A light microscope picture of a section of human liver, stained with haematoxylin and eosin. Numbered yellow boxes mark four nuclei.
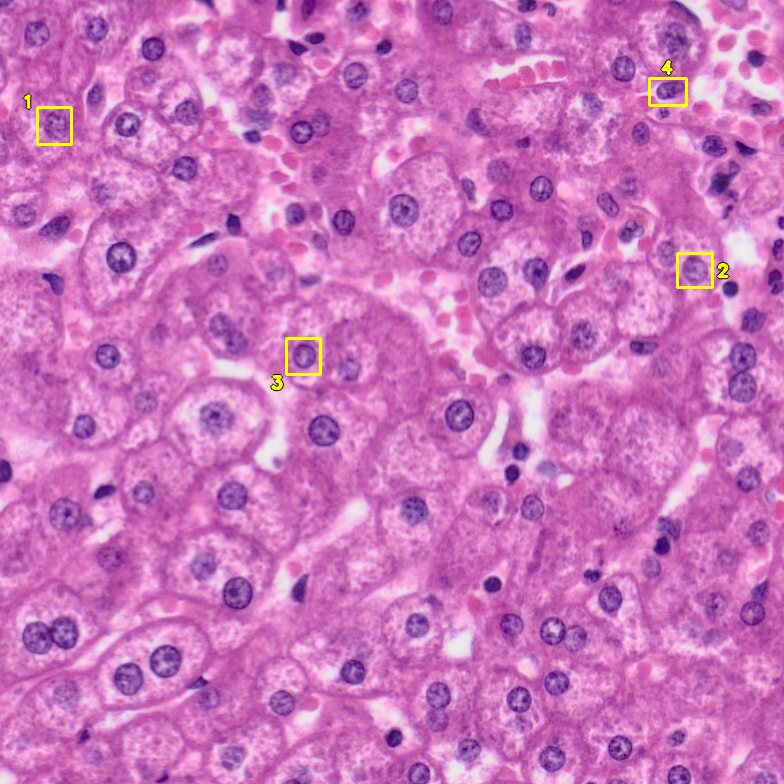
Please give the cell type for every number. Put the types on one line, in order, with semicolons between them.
hepatocyte; hepatocyte; hepatocyte; Kupffer cell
